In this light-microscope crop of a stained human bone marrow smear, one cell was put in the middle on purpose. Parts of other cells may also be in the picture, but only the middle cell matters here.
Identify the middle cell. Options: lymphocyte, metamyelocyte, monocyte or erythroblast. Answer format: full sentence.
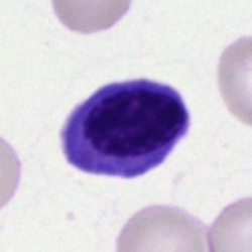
The middle of this crop holds an erythroblast.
